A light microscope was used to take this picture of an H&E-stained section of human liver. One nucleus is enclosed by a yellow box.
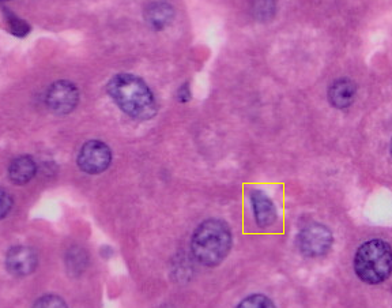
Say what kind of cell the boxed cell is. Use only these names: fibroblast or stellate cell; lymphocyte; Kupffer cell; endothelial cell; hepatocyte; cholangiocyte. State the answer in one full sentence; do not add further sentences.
Cell type answer for this item: the boxed cell is an endothelial cell.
